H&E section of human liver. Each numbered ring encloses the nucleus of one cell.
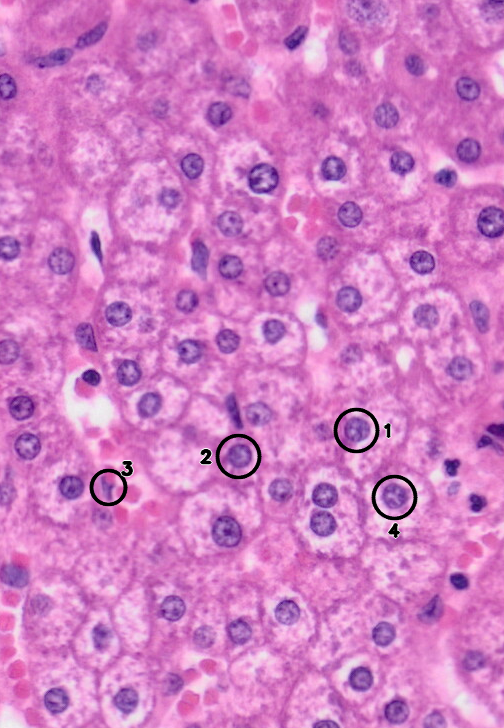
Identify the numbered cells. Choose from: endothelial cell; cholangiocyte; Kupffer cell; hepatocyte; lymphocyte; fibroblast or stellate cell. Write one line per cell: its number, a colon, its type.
1: hepatocyte
2: hepatocyte
3: endothelial cell
4: hepatocyte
